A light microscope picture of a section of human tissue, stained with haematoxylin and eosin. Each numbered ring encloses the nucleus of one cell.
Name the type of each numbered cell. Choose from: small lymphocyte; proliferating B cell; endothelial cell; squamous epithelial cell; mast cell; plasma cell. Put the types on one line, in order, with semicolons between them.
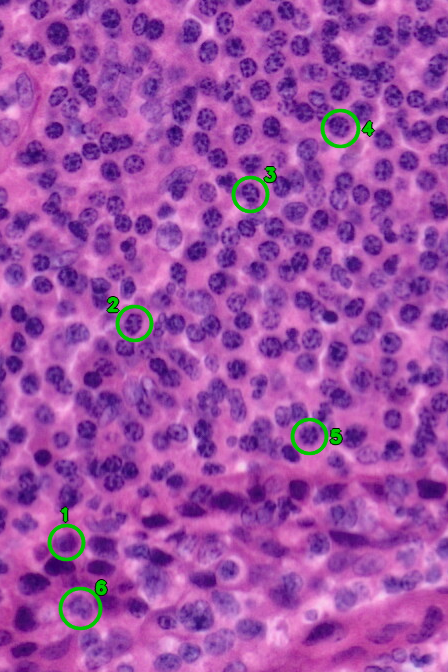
squamous epithelial cell; plasma cell; plasma cell; plasma cell; plasma cell; squamous epithelial cell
